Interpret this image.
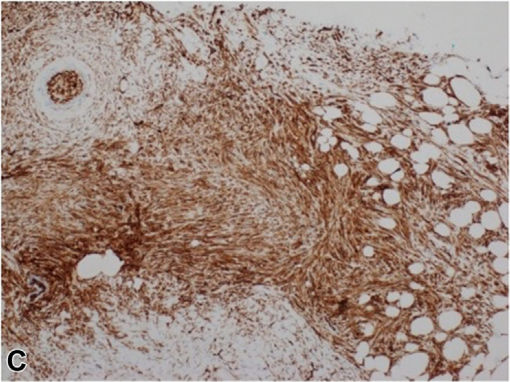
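Tumor cells, spindle shaped, stained intensely brown, forming crowded sweeping fascicles through the tissue. The stained cells surround and infiltrate between many round clear fat spaces at the right, outlining them in brown. At the upper left a small vessel with a pale, unstained concentric wall contains brown-stained cells in its centre. Toward the lower edge the tissue is looser and paler, with fewer stained cells. Nuclei are largely obscured by the dense brown cytoplasmic staining.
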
